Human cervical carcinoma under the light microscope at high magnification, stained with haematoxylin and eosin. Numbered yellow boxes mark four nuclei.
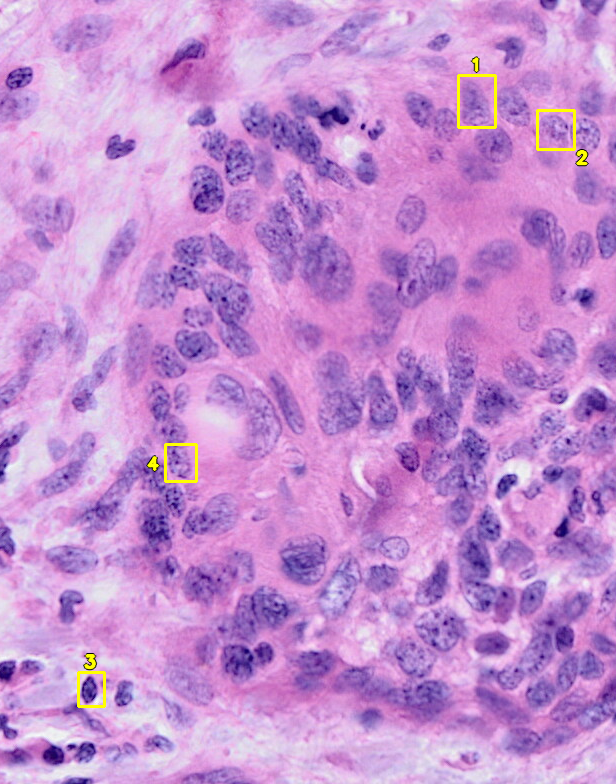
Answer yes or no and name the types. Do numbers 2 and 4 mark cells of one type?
Yes, both are squamous carcinoma cells.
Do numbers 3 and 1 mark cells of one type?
No, cell 3 is a lymphocyte and cell 1 is a squamous carcinoma cell.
